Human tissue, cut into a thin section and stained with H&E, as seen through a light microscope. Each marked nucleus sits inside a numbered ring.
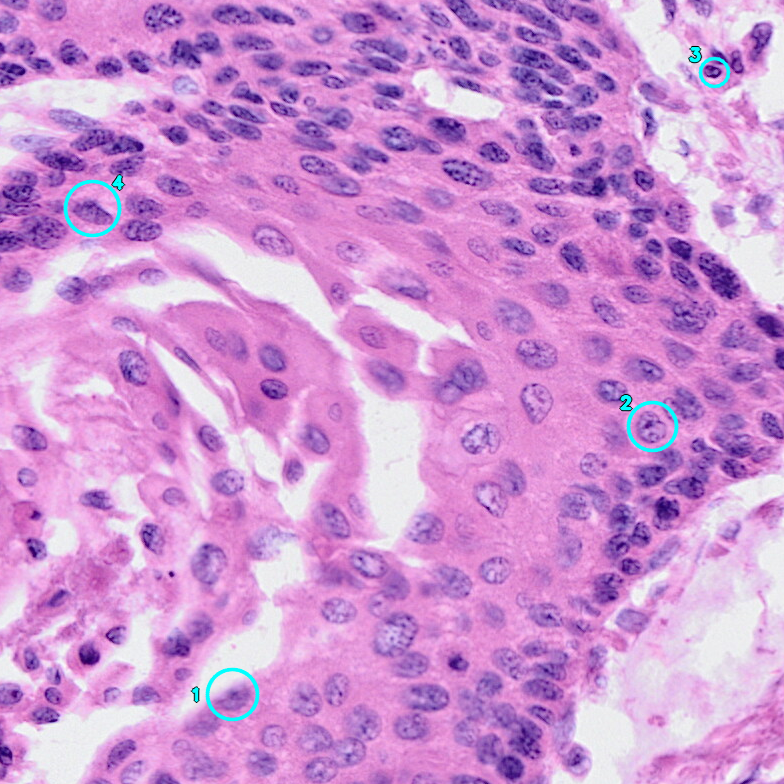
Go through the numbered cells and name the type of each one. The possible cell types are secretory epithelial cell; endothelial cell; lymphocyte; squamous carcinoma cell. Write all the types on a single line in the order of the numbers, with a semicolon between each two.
squamous carcinoma cell; squamous carcinoma cell; lymphocyte; squamous carcinoma cell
